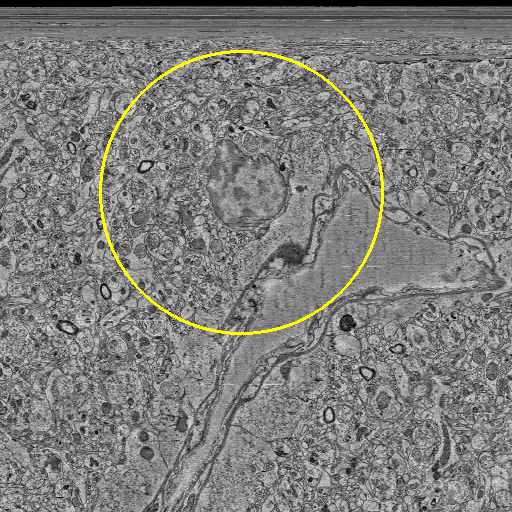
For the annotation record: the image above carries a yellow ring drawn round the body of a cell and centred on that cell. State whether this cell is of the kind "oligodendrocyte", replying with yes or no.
Yes, this cell is of that kind.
